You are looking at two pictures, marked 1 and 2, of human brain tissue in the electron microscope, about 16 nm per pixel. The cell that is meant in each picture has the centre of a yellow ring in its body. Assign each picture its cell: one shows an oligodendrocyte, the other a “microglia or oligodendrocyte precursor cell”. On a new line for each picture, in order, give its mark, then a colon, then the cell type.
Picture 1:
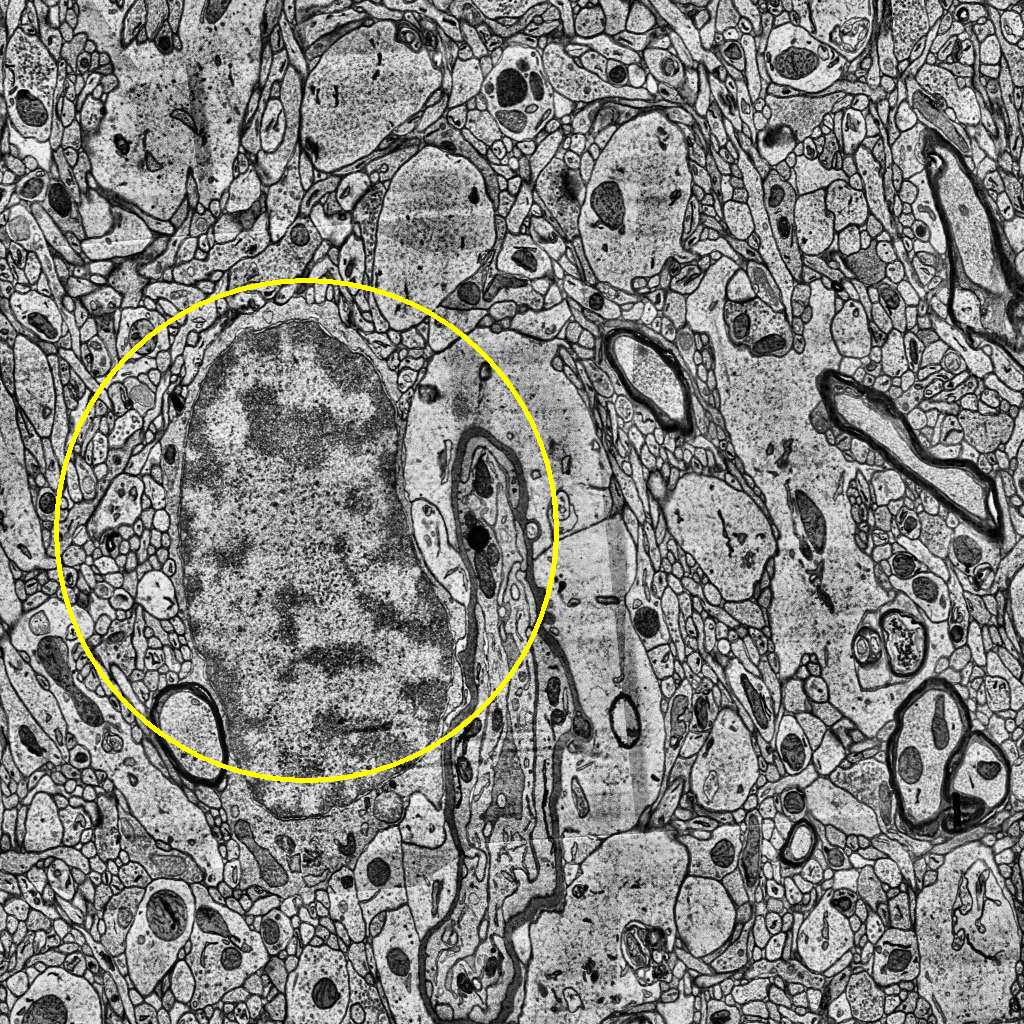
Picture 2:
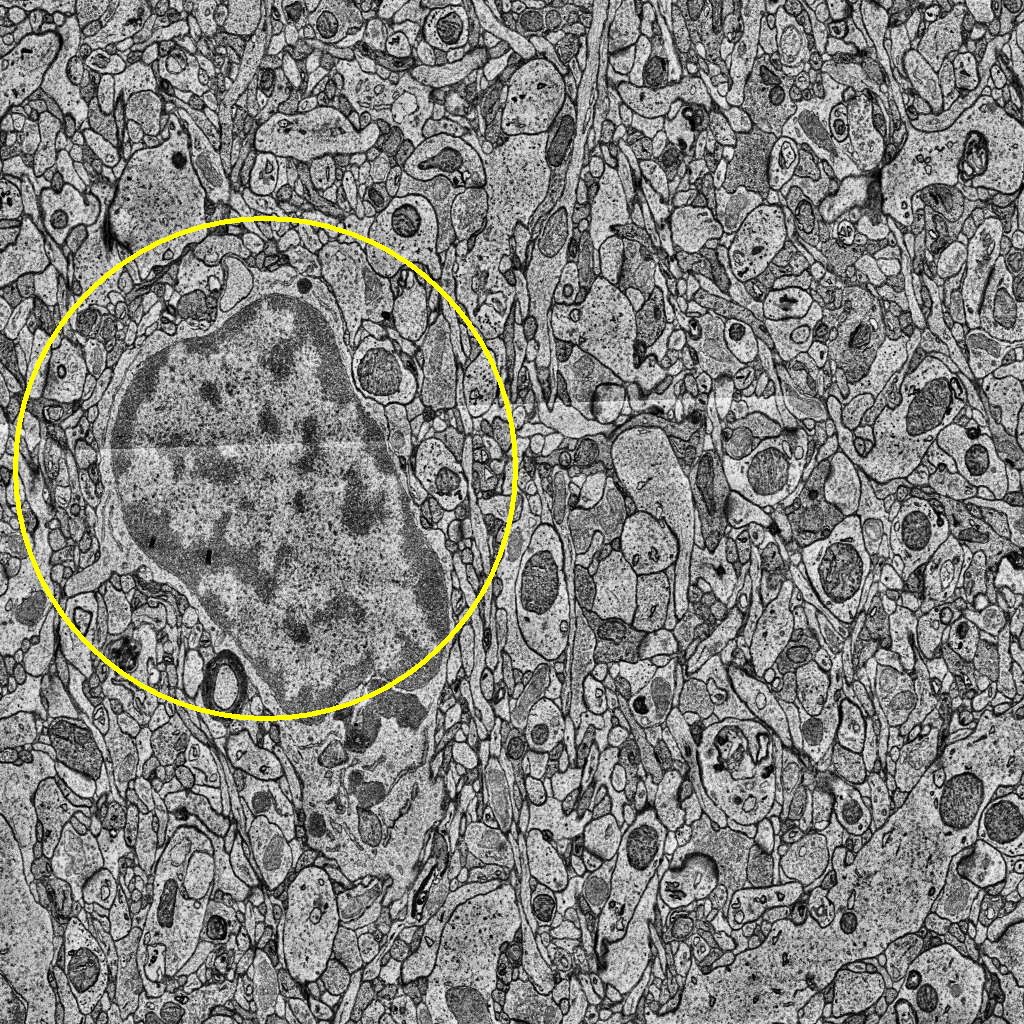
1: oligodendrocyte
2: microglia or oligodendrocyte precursor cell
